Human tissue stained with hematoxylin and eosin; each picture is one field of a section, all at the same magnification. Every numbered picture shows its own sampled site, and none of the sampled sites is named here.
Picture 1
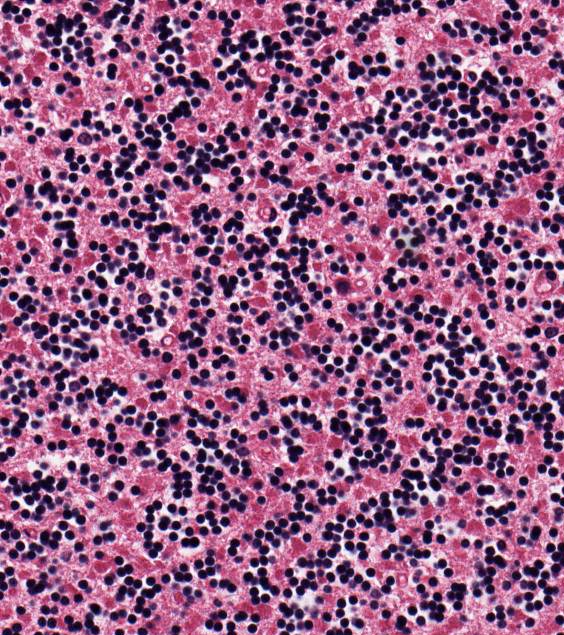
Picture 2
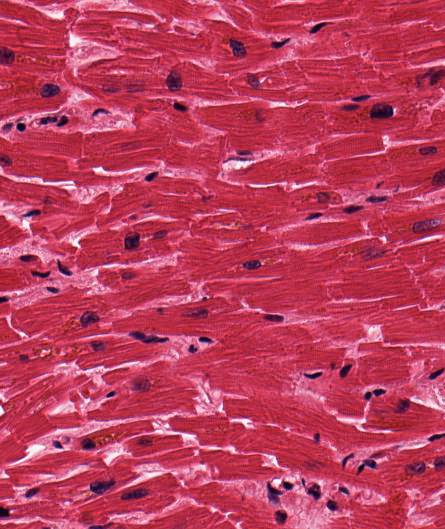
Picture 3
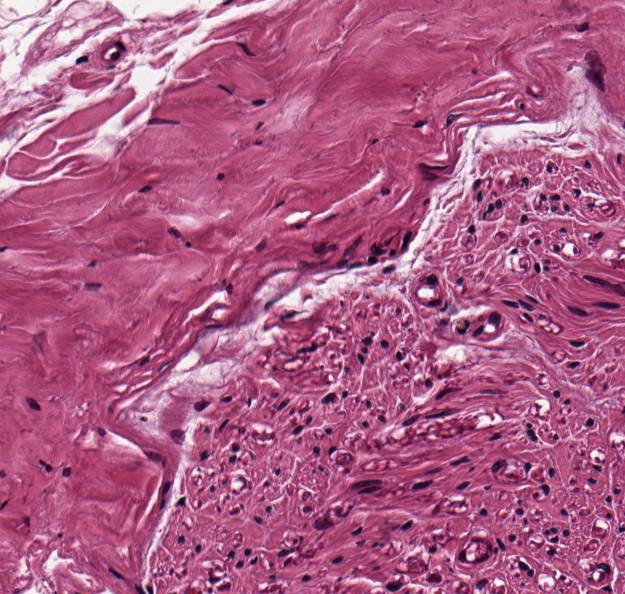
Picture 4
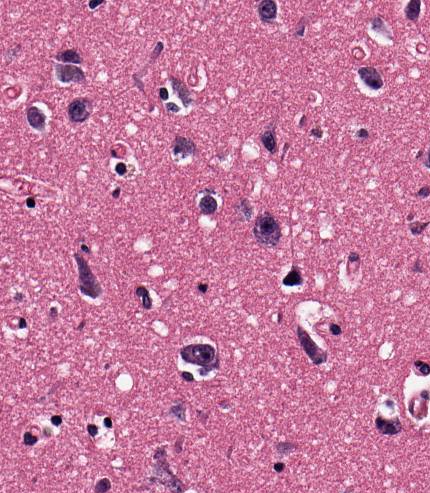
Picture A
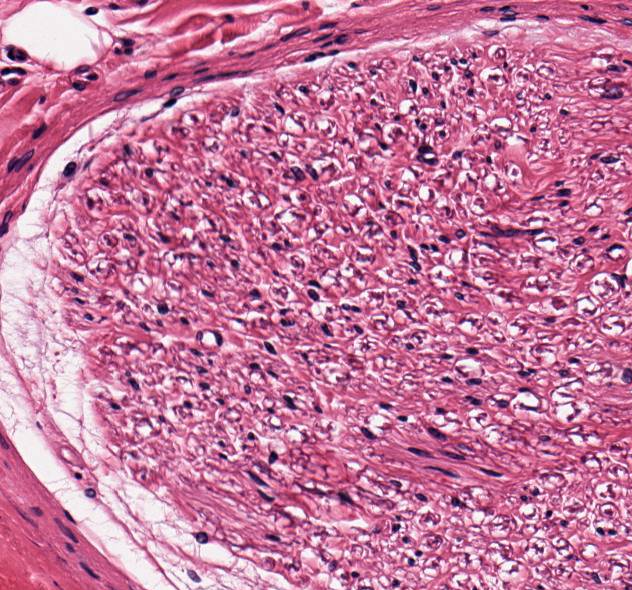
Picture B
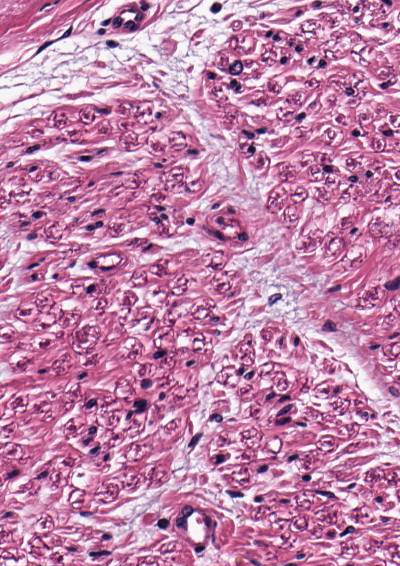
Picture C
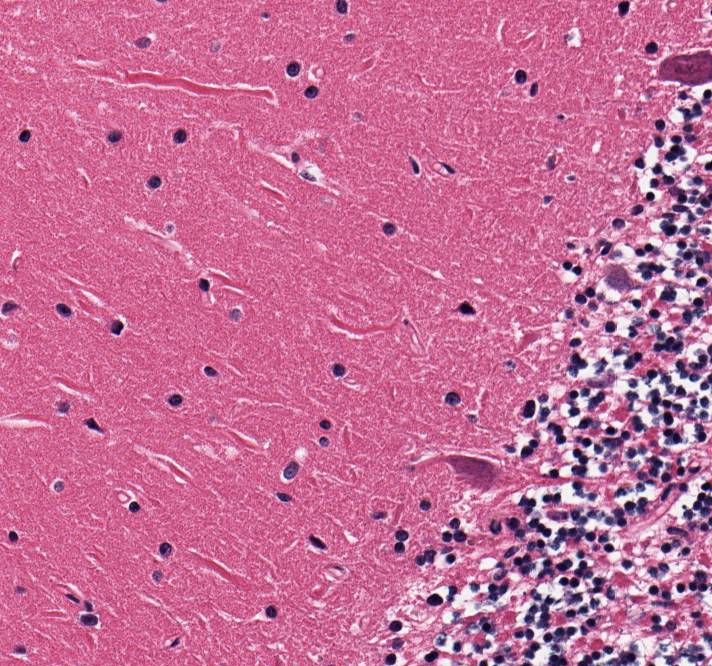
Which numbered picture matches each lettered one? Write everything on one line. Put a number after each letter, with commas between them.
A 3, B 3, C 1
